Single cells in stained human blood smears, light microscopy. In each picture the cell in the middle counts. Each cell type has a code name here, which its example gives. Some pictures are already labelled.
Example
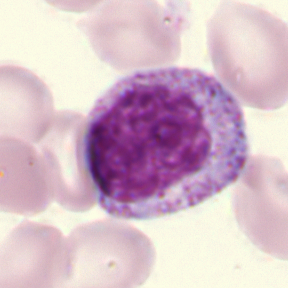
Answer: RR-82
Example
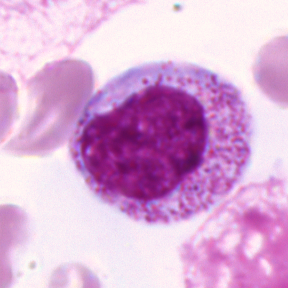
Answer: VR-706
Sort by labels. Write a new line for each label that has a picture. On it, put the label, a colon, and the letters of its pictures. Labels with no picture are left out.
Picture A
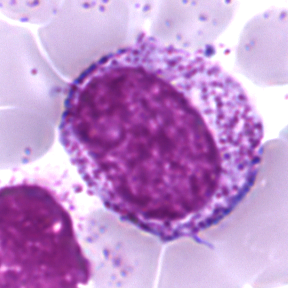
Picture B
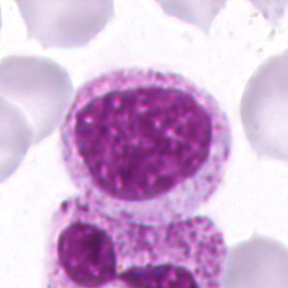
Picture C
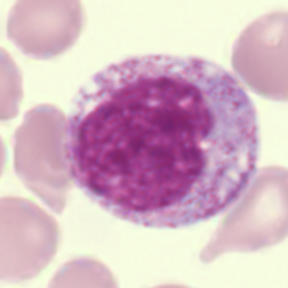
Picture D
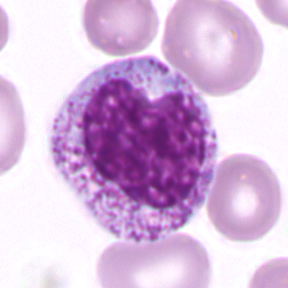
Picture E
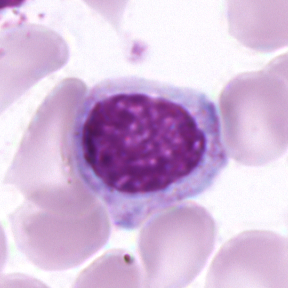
RR-82: A, B, C, D
VR-706: E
